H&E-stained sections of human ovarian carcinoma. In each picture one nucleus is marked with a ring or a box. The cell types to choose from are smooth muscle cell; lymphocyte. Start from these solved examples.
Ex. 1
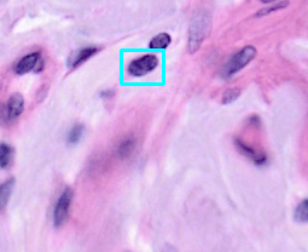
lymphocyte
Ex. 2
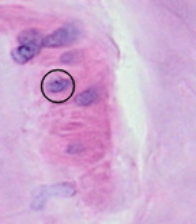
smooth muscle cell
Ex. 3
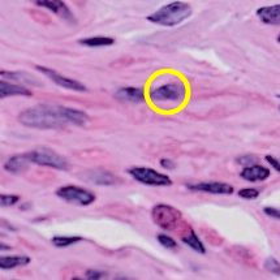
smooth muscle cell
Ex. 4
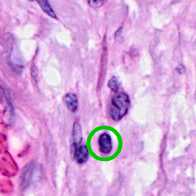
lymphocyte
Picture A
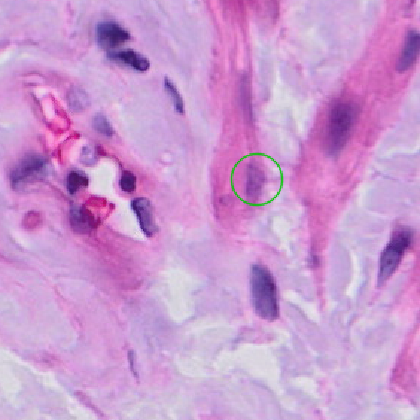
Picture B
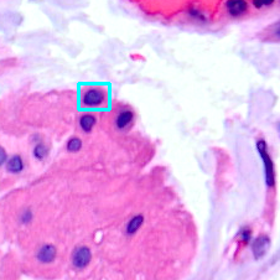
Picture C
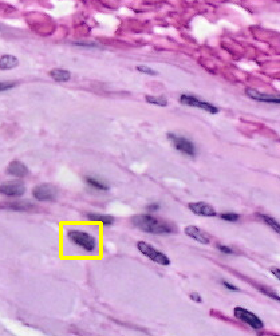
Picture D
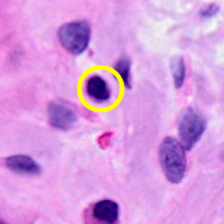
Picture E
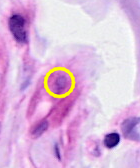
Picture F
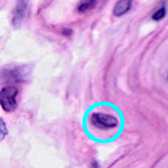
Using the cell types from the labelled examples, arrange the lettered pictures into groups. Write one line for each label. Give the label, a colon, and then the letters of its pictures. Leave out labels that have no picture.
smooth muscle cell: A, B, E
lymphocyte: C, D, F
